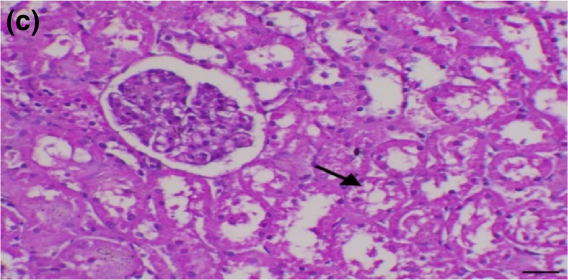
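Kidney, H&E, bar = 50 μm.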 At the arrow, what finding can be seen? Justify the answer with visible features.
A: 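Tubular epithelial cells contain clear spaces. Tubule linings look pale and frothy.
Answer: vacuolar tubular degeneration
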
